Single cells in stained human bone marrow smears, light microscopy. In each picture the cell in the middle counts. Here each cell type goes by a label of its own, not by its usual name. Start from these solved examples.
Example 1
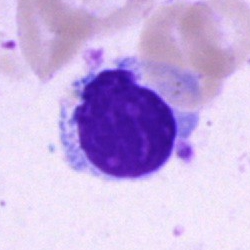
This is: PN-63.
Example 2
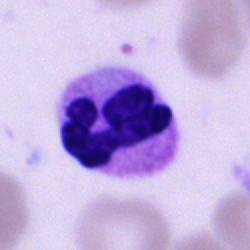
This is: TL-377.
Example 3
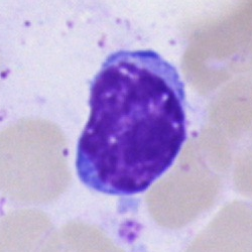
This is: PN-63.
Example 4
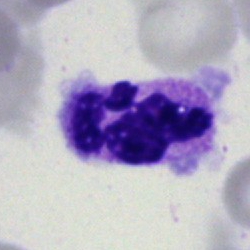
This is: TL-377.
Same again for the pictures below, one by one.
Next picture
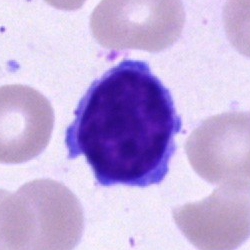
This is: PN-63.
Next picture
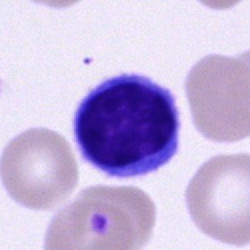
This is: PN-63.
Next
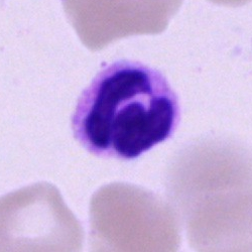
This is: TL-377.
